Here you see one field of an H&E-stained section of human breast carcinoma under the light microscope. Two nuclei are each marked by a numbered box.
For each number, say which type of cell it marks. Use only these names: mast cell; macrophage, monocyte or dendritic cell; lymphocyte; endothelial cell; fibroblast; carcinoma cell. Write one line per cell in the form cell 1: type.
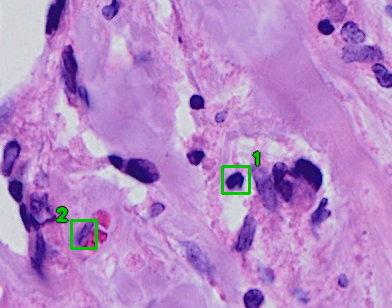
cell 1: lymphocyte
cell 2: endothelial cell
